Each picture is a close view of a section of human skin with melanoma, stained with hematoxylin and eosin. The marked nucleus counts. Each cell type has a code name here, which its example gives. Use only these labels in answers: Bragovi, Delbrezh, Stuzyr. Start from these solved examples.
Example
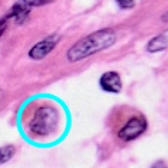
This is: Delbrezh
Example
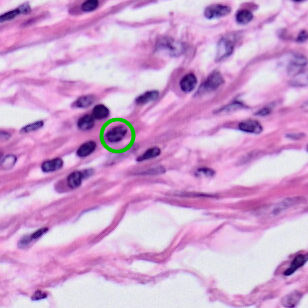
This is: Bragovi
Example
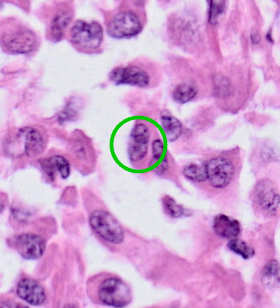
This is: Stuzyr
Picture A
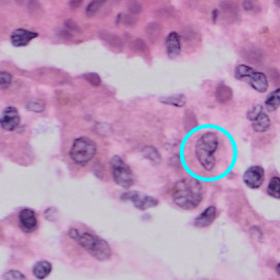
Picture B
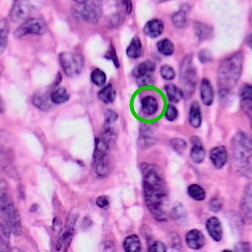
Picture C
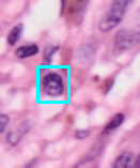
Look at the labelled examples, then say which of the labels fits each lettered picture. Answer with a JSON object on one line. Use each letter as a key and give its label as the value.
{"A": "Delbrezh", "B": "Bragovi", "C": "Bragovi"}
